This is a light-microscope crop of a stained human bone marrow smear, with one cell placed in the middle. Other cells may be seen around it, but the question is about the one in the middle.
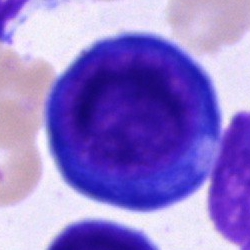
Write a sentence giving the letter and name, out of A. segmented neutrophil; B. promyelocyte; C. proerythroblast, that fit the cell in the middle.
Here the central cell is a proerythroblast, and option C is correct.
